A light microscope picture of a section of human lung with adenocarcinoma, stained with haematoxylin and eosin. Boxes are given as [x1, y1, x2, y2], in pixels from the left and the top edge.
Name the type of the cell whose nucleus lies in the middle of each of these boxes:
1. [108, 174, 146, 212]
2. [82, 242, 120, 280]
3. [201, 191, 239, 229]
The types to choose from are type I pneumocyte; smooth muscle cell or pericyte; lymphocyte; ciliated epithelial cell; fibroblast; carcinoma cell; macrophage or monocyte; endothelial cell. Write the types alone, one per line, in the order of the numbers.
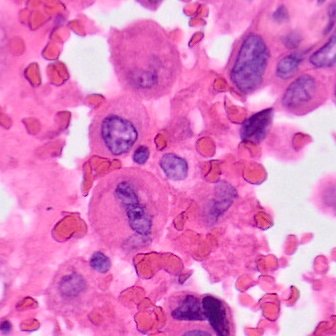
macrophage or monocyte
lymphocyte
macrophage or monocyte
